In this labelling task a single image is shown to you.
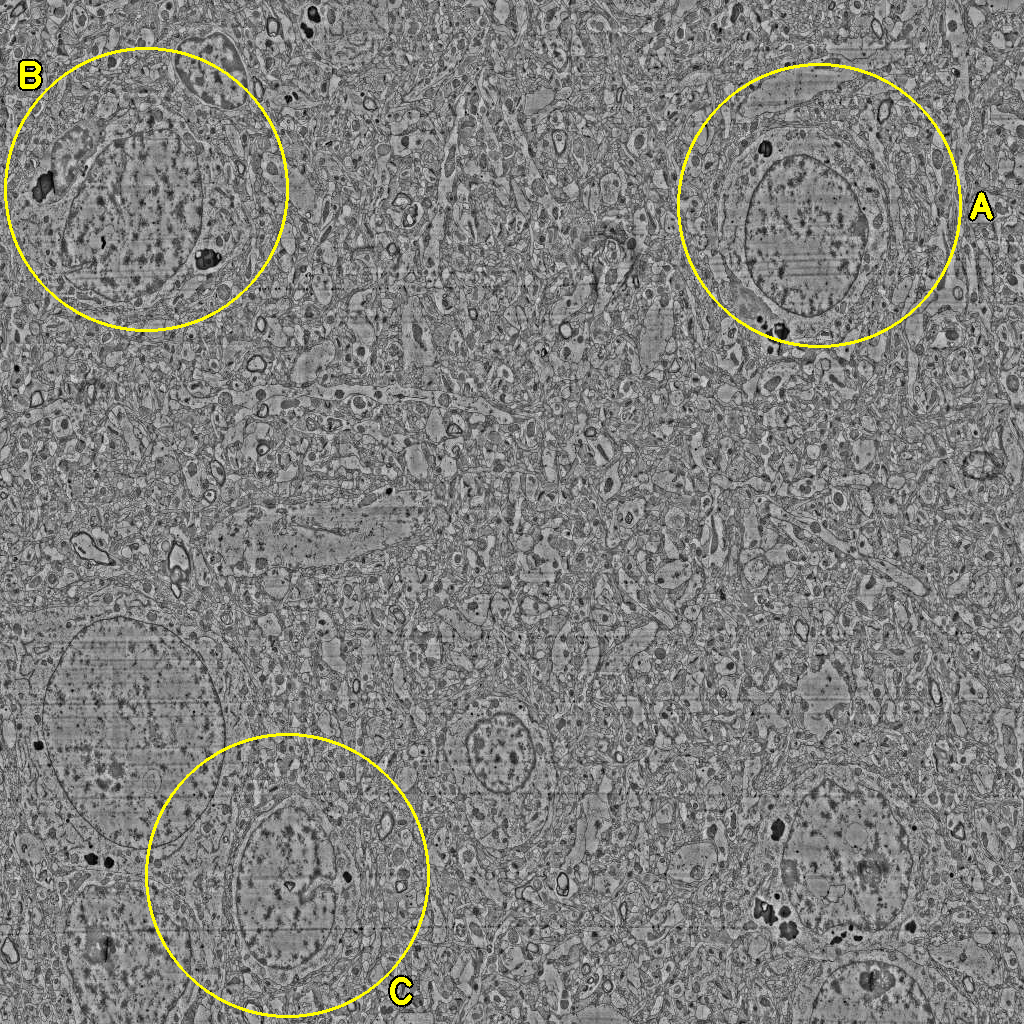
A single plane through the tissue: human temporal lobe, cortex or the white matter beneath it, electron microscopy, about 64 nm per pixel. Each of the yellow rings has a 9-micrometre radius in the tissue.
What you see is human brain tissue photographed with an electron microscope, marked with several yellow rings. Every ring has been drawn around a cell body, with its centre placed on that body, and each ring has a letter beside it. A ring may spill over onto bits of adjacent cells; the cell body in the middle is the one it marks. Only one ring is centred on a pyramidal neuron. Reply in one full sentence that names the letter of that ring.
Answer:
The ring centred on the cell asked for is the one marked A.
